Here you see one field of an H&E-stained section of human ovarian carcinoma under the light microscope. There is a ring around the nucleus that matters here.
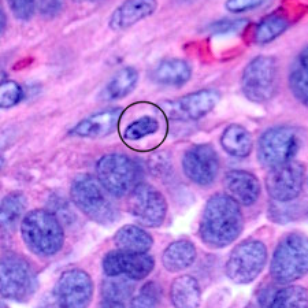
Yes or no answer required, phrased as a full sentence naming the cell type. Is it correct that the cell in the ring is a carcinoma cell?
No, the cell in the ring is correctly named a lymphocyte; it is not a carcinoma cell.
